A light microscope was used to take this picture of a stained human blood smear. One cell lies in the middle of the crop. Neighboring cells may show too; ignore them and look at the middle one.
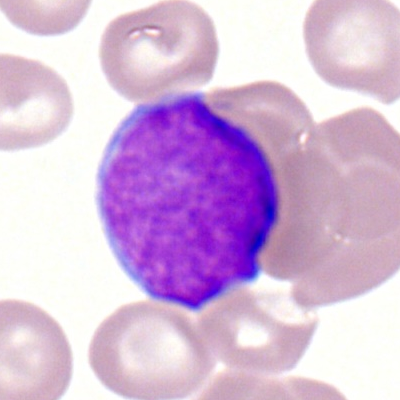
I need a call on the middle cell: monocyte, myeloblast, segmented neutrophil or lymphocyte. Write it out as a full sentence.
This particular crop is centered on a myeloblast.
